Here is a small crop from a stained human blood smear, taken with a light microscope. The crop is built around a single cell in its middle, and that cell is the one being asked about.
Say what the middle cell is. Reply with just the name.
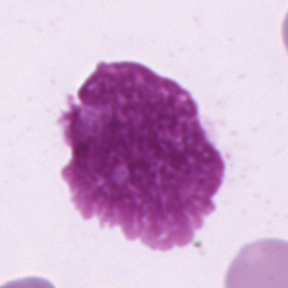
smudge cell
